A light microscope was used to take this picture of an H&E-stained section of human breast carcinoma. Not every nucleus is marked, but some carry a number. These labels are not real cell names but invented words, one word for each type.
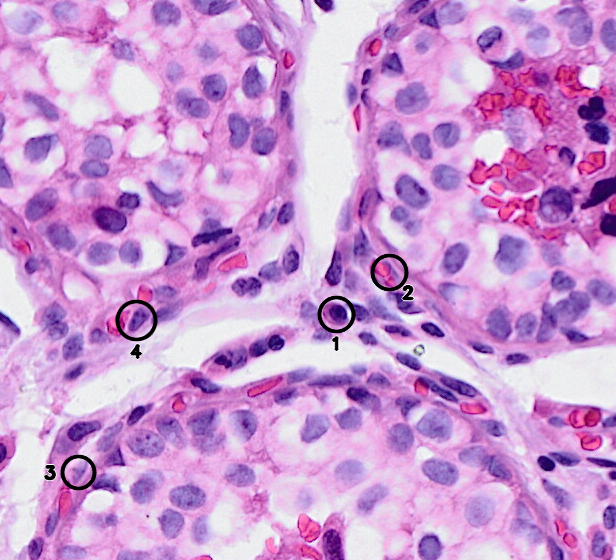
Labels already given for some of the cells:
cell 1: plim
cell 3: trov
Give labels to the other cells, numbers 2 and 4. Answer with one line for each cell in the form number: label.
2: trov
4: trov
